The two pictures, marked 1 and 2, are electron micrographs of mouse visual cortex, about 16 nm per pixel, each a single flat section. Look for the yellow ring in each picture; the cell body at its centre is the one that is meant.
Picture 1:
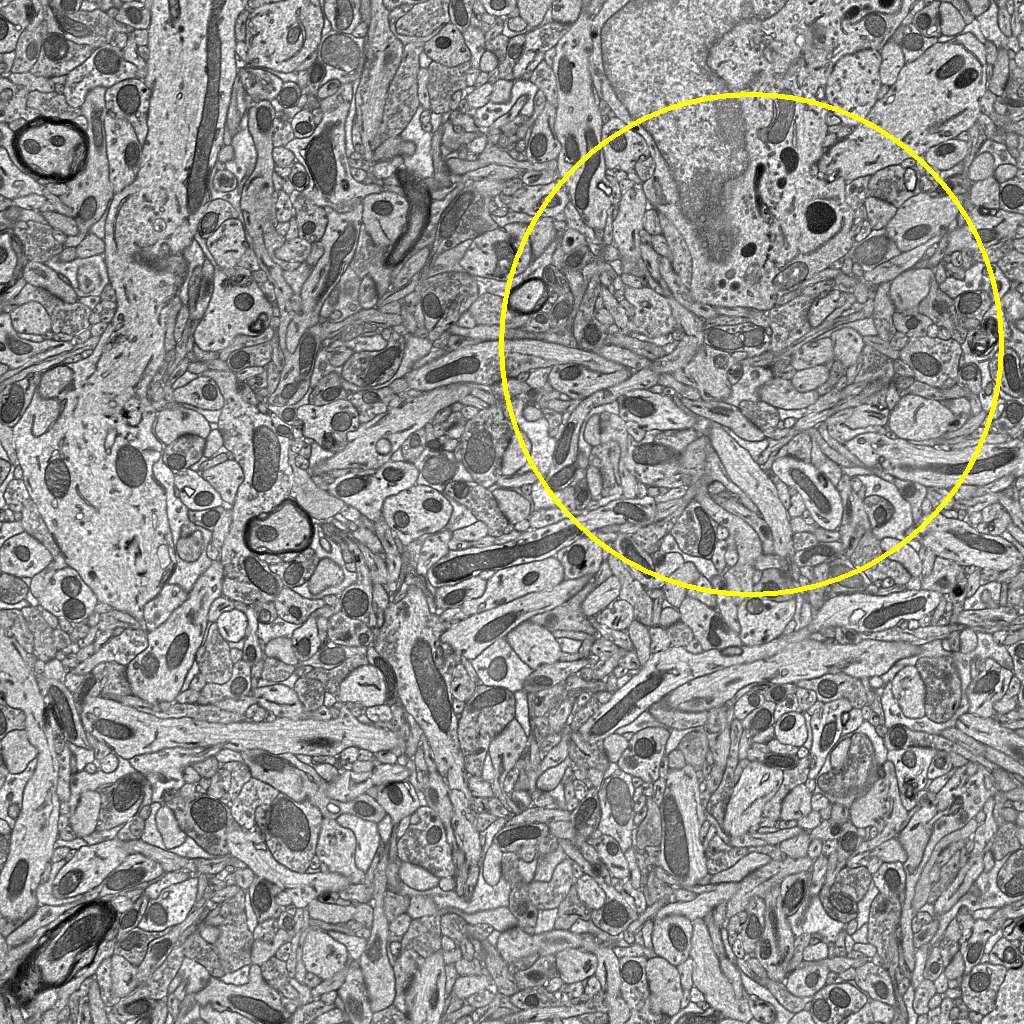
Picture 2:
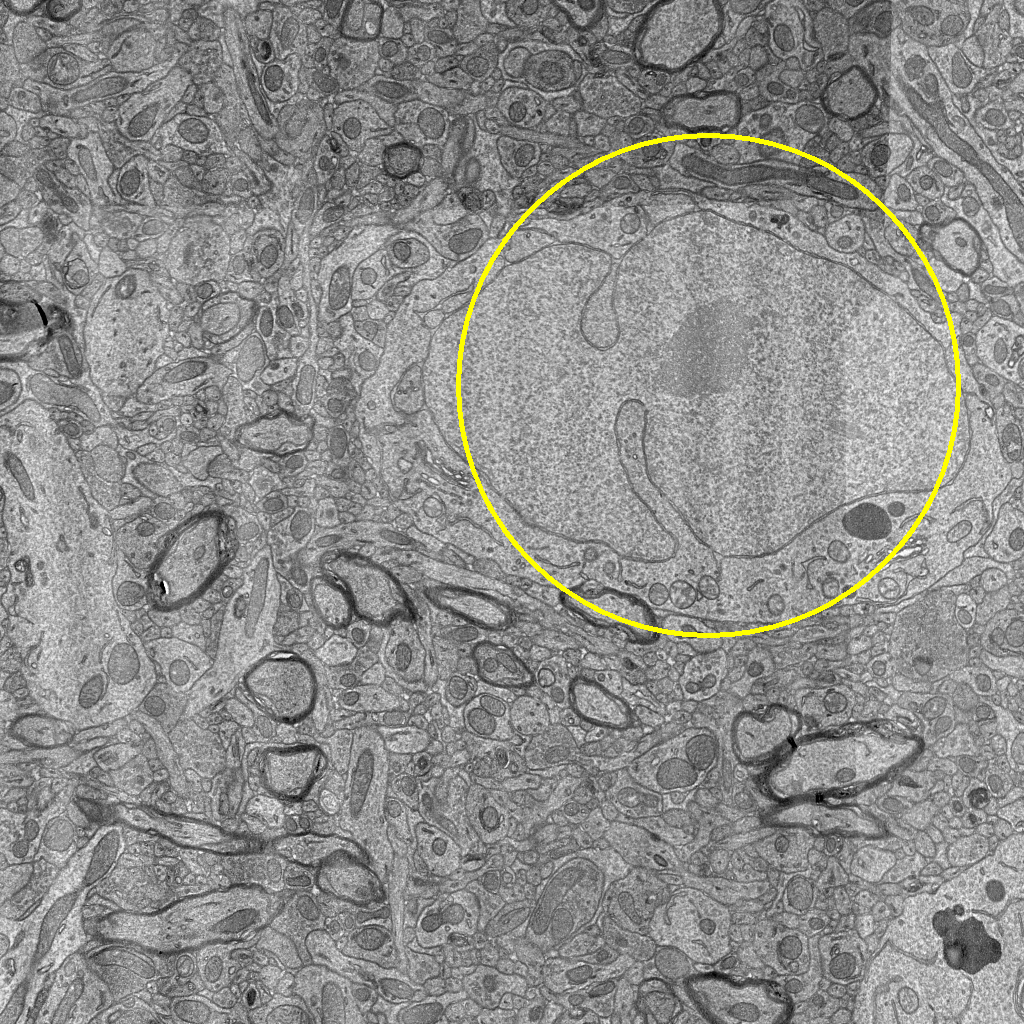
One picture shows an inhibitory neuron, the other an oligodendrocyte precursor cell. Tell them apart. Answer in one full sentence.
In picture 1 the cell is an oligodendrocyte precursor cell; in picture 2, an inhibitory neuron.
